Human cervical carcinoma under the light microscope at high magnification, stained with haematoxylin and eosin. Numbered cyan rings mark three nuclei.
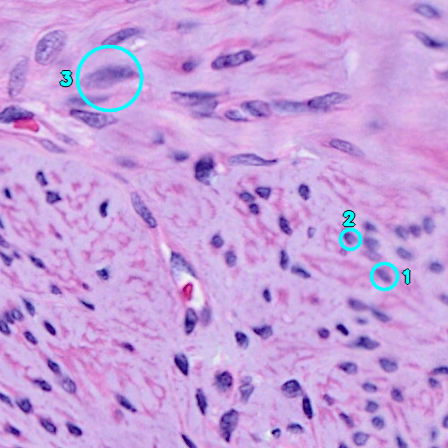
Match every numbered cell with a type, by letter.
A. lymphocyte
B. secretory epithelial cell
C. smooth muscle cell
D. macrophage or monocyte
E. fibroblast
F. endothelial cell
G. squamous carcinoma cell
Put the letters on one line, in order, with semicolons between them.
C; C; E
